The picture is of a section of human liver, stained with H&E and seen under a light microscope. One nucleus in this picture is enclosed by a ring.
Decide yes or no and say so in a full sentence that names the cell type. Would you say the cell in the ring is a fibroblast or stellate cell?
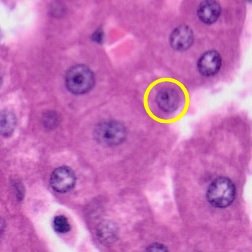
No, in this section the cell in the ring is a hepatocyte and not a fibroblast or stellate cell.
